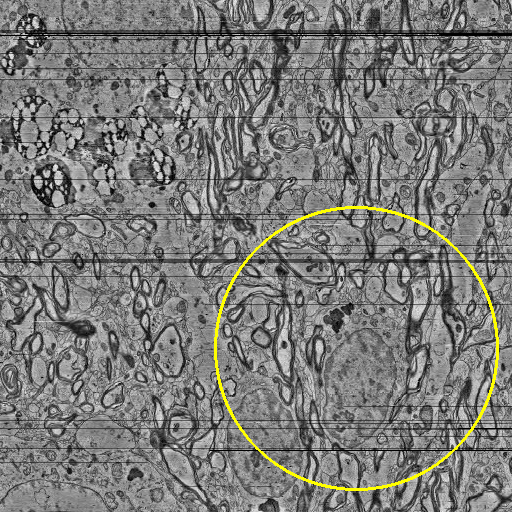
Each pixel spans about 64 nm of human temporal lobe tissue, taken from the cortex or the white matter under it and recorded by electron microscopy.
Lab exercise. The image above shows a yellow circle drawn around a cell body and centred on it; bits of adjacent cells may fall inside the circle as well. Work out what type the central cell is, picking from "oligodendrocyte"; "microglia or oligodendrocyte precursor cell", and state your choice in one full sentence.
In the image above, the cell at the centre of the yellow circle is an oligodendrocyte.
